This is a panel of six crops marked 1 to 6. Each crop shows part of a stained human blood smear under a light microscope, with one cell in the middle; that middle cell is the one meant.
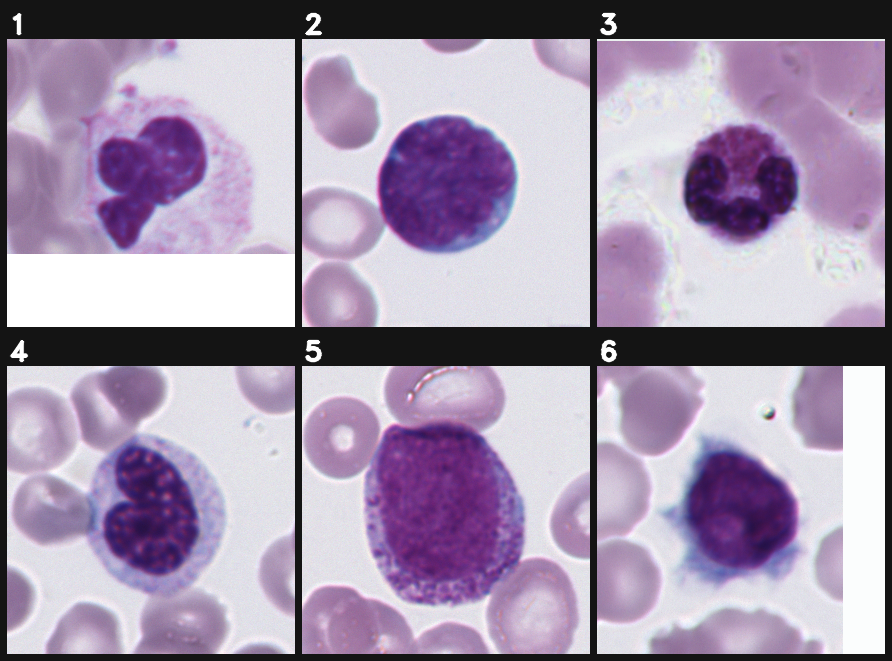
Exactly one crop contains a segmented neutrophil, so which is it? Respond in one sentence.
Crop 1, and no other, is the one that shows a segmented neutrophil.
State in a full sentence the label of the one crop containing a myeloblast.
The crop in which a myeloblast is shown is crop 2.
